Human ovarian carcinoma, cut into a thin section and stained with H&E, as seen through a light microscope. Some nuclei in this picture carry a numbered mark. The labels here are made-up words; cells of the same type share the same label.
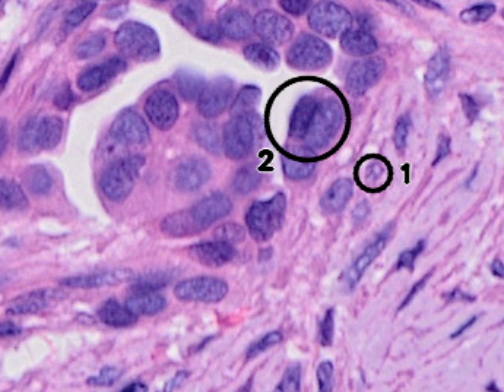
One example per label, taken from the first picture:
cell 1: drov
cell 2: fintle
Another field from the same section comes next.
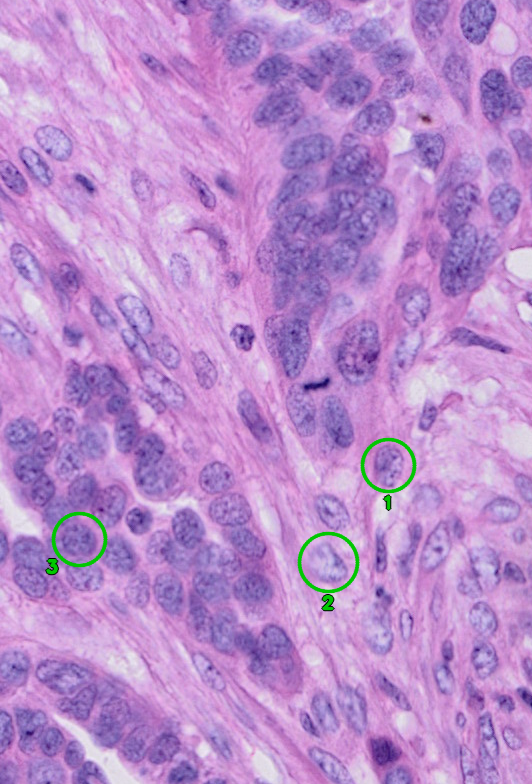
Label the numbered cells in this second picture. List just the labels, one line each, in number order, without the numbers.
drov
drov
fintle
